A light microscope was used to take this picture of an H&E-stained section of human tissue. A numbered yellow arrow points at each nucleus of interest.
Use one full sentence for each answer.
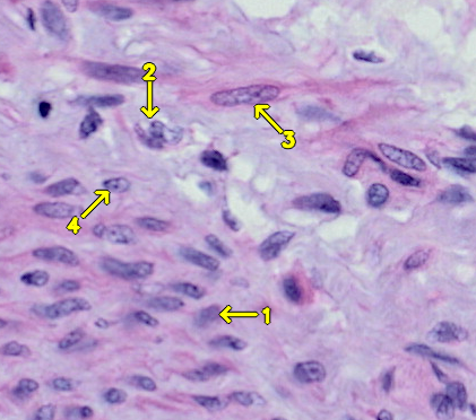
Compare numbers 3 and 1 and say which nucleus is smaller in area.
It is nucleus 1; nucleus 3 has about 2.5 times its area.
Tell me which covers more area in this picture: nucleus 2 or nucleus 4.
Number 2 is larger; its area is about 2 times that of number 4.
